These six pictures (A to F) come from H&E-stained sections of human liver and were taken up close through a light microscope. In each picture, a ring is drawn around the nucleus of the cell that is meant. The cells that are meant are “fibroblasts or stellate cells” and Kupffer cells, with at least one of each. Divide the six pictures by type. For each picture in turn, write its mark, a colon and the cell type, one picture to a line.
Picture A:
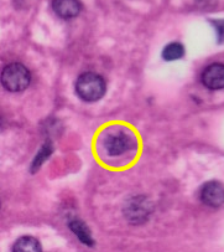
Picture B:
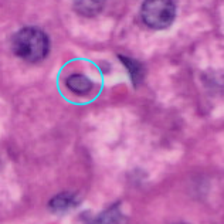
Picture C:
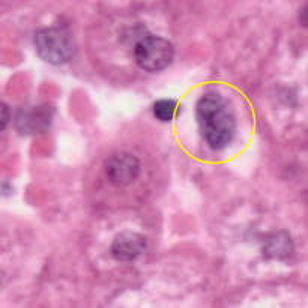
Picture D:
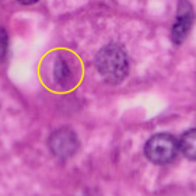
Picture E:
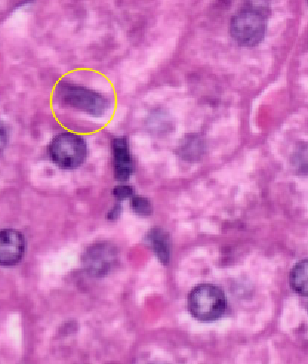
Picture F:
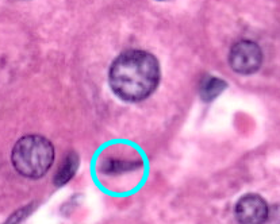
A: fibroblast or stellate cell
B: Kupffer cell
C: Kupffer cell
D: fibroblast or stellate cell
E: Kupffer cell
F: fibroblast or stellate cell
